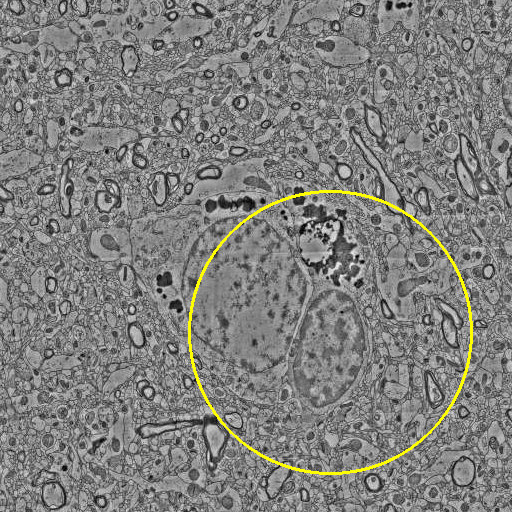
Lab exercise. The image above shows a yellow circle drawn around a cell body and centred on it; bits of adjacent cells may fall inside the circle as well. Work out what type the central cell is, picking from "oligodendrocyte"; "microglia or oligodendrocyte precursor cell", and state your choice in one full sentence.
In the image above, the cell at the centre of the yellow circle is an oligodendrocyte.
